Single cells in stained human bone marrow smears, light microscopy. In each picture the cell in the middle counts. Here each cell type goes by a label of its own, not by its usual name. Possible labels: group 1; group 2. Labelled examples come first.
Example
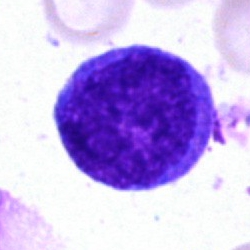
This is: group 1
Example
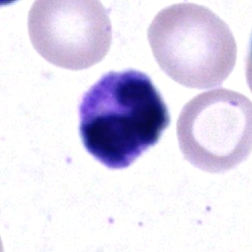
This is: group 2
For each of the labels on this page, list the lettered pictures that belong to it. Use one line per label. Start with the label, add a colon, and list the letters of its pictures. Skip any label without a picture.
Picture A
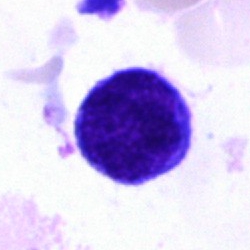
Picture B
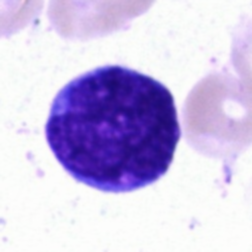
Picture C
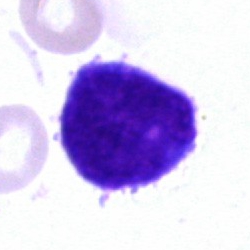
group 1: A, B, C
